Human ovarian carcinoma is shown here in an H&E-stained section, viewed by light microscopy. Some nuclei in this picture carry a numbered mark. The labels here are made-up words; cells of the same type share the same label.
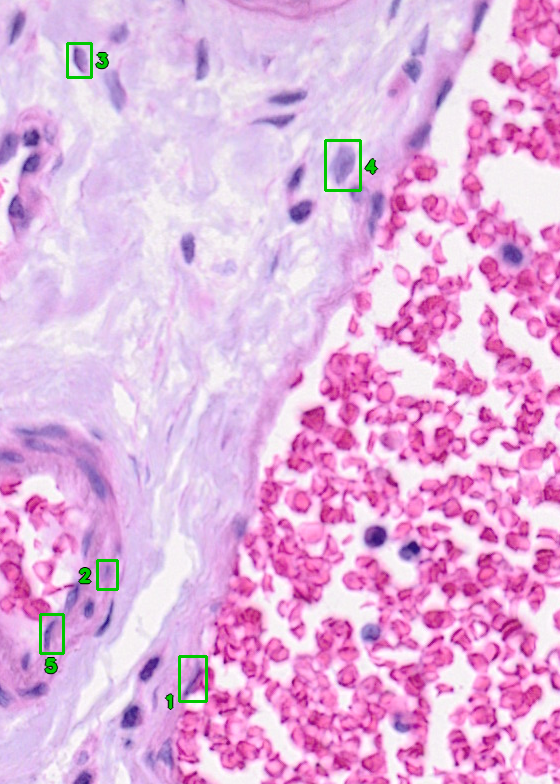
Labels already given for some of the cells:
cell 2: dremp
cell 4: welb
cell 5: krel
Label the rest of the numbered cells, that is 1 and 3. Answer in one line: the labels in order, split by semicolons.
krel; welb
